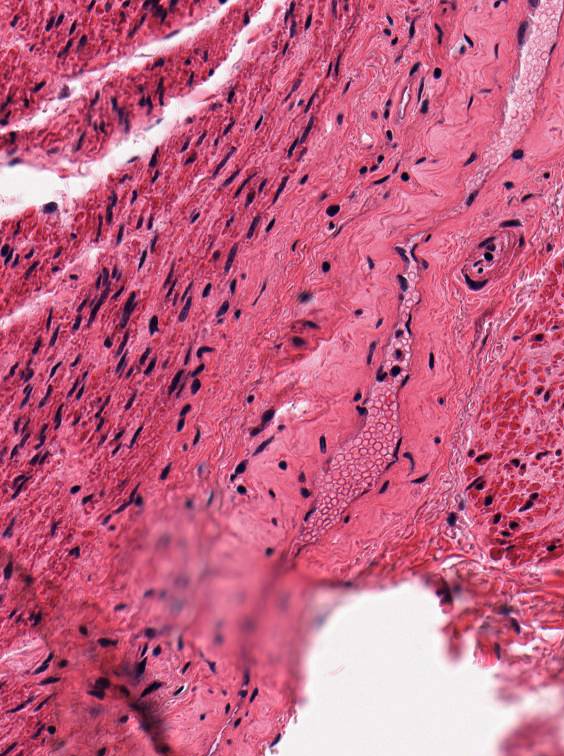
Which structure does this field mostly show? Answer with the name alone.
smooth muscle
